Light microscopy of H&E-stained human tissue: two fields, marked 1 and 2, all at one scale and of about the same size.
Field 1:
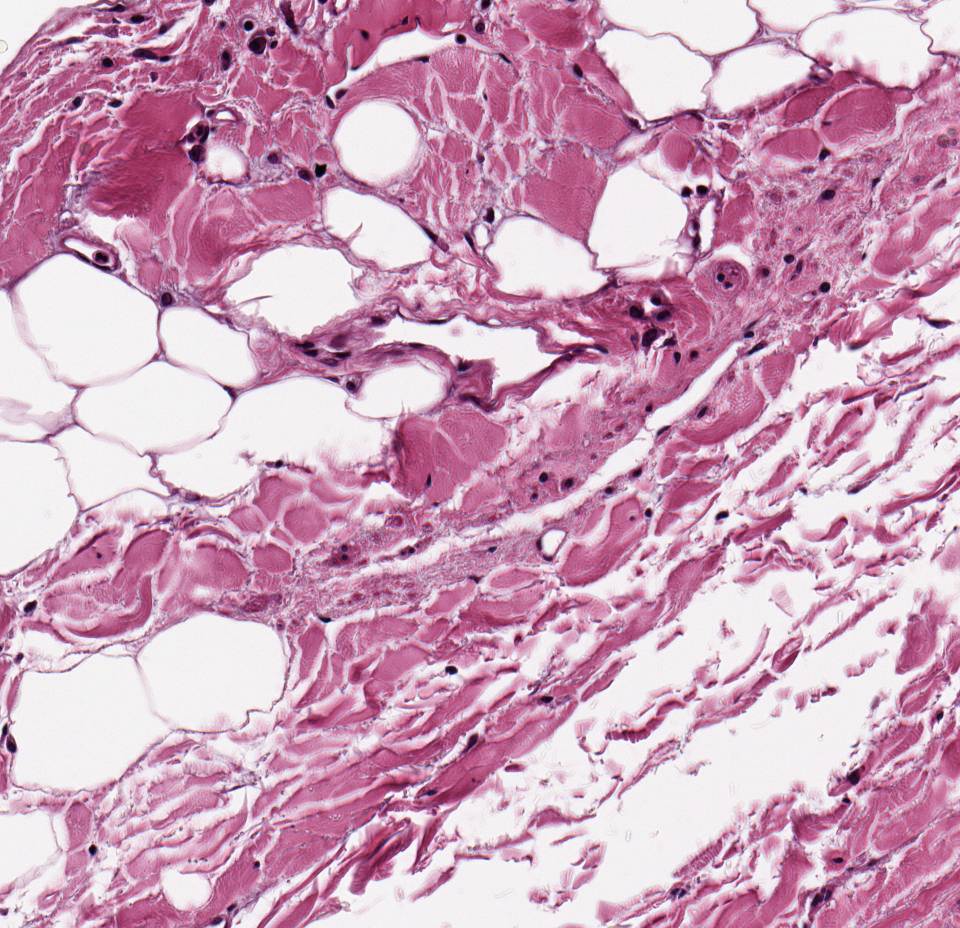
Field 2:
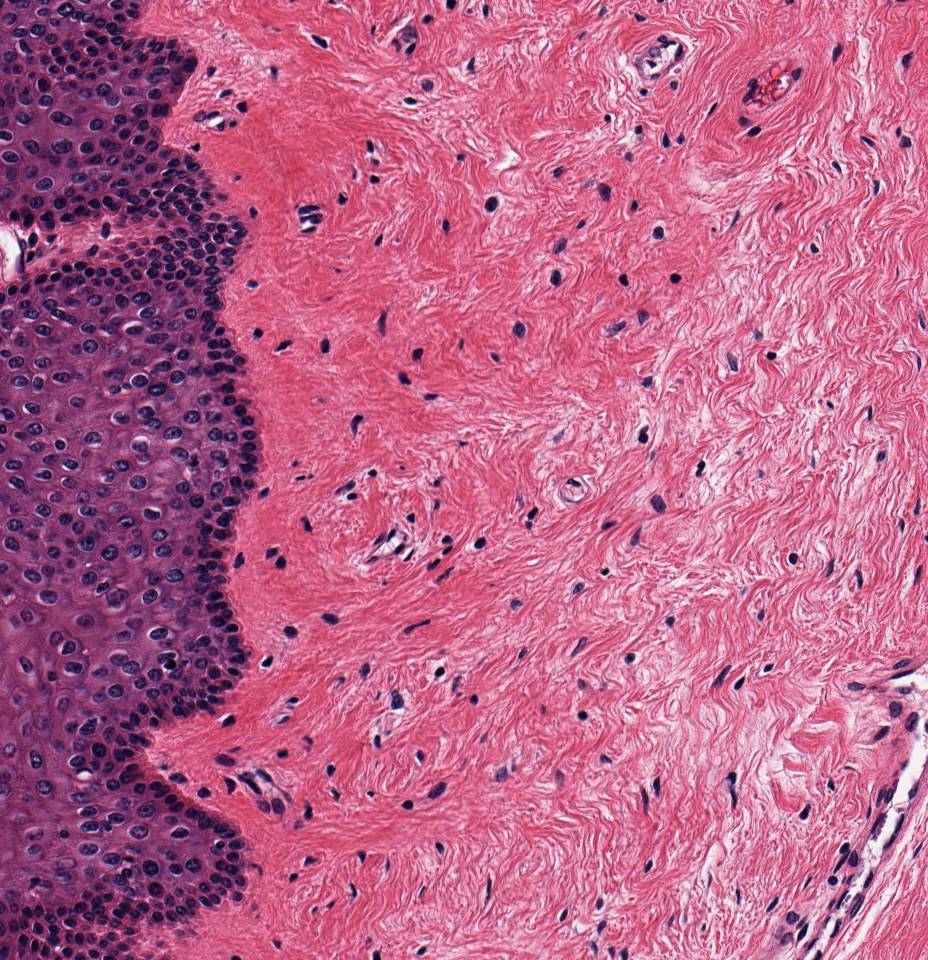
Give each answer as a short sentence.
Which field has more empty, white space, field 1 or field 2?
More of field 1 is empty and white.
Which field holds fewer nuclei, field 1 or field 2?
It is field 1 that has fewer nuclei in it.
